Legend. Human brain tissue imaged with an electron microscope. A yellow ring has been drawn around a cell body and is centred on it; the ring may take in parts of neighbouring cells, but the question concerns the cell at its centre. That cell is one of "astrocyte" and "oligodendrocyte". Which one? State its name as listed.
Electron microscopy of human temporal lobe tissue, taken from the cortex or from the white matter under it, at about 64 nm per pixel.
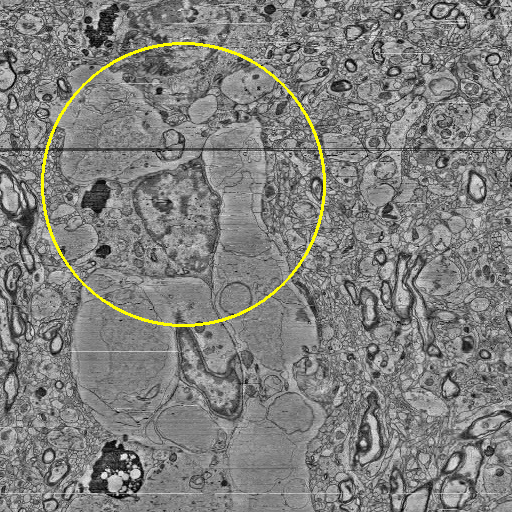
oligodendrocyte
